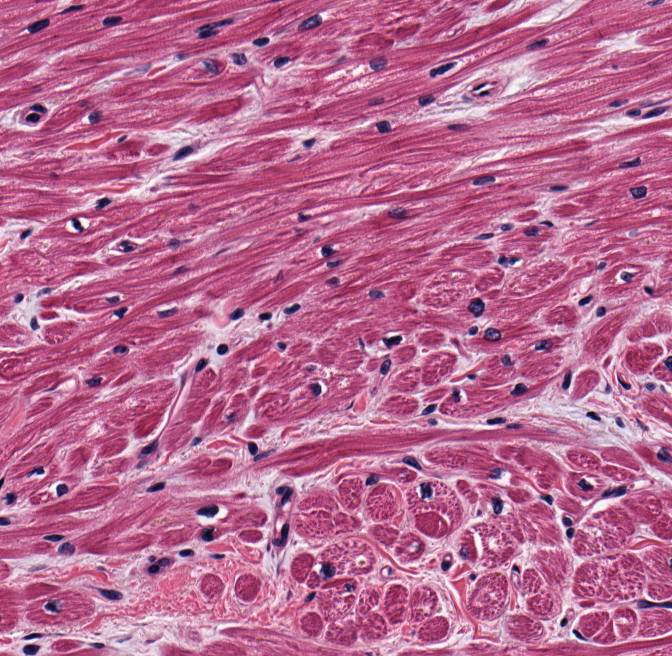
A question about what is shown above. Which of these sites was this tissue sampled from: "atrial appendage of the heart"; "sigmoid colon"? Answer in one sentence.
The site this tissue was sampled from is the atrial appendage of the heart.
